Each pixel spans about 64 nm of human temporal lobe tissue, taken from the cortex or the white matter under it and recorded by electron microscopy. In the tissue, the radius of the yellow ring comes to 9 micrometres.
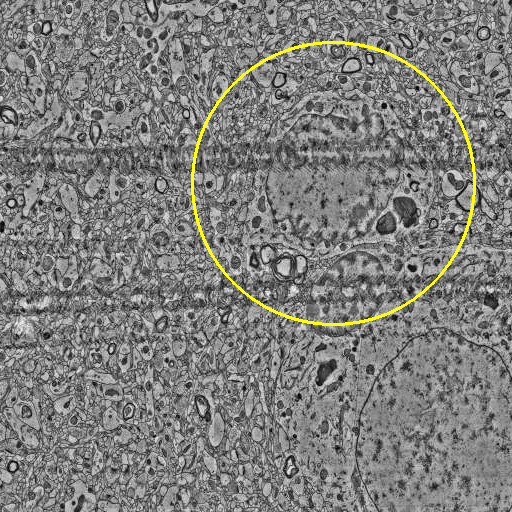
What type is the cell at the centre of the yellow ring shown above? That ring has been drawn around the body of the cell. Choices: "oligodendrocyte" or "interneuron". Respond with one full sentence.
My answer is that an interneuron lies at the centre of the yellow ring above.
